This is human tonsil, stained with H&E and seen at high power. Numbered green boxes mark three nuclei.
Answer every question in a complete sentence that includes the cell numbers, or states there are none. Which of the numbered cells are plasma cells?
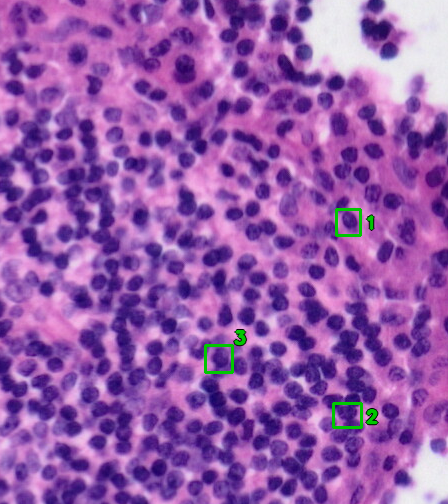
None but cell 1 among the numbered cells is a plasma cell.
